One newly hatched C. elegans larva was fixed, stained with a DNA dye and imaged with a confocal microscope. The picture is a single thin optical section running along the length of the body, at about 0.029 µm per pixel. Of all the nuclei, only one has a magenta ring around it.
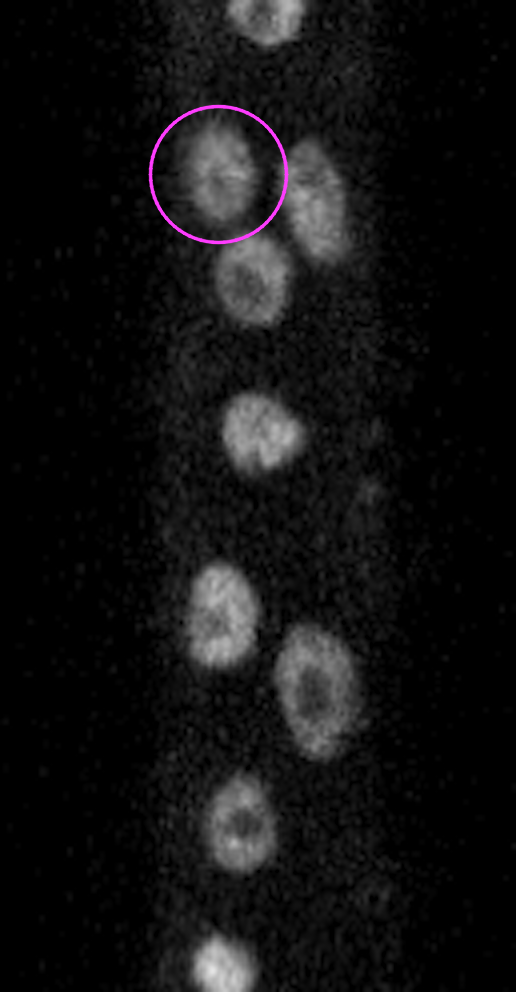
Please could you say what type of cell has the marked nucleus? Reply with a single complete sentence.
This is the nucleus of a P cell (ventral epidermal blast cell).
